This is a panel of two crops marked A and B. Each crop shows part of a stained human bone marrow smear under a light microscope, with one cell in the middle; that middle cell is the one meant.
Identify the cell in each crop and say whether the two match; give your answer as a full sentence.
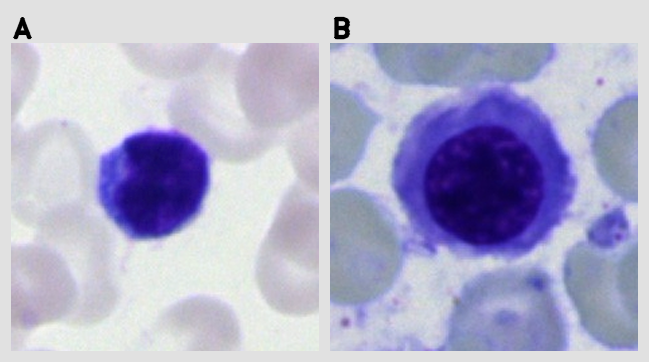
No, crop A should be called a lymphocyte, and crop B should be called an erythroblast.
